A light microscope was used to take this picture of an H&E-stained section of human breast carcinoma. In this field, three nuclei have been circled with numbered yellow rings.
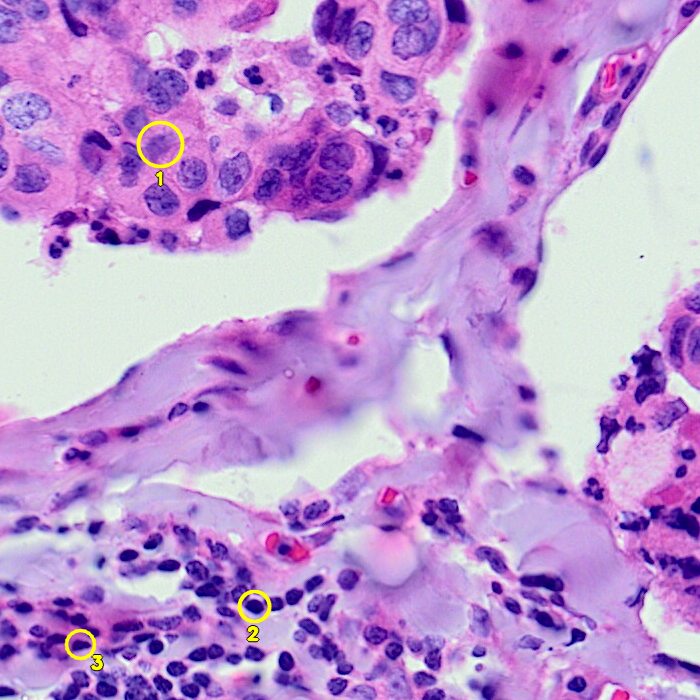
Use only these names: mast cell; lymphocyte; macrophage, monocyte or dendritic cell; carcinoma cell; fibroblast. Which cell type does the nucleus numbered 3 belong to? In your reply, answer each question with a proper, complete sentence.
Corresponding to a lymphocyte is the cell labelled 3.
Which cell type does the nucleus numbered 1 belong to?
Here, the cell given the number 1 is a carcinoma cell.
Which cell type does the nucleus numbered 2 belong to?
Cell 2 should be recorded as a lymphocyte.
